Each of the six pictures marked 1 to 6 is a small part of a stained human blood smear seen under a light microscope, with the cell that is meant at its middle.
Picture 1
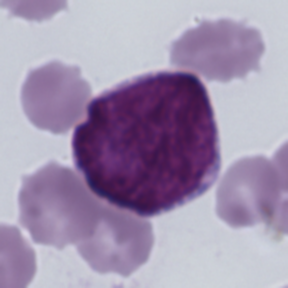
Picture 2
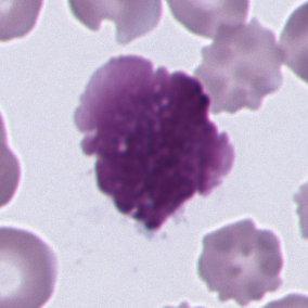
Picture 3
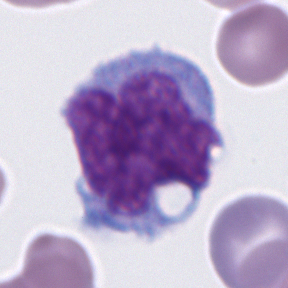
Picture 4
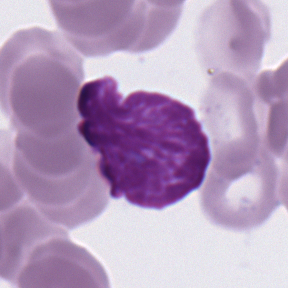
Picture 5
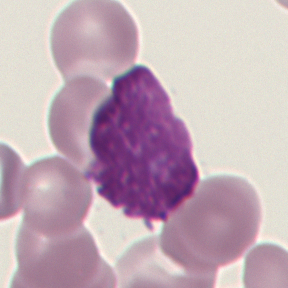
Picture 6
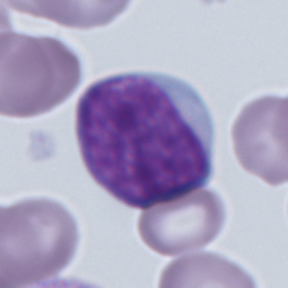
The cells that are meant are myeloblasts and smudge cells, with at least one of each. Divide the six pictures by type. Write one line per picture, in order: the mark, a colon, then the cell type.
1: myeloblast
2: smudge cell
3: myeloblast
4: smudge cell
5: smudge cell
6: myeloblast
